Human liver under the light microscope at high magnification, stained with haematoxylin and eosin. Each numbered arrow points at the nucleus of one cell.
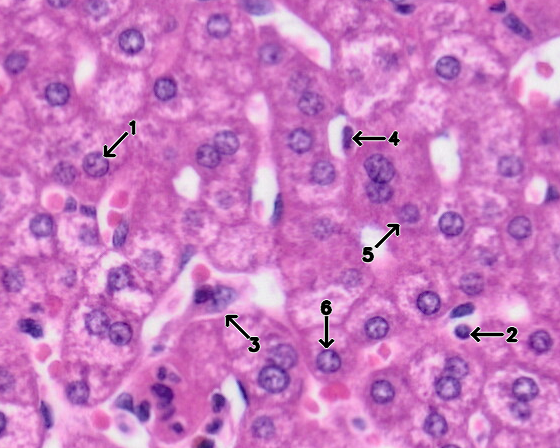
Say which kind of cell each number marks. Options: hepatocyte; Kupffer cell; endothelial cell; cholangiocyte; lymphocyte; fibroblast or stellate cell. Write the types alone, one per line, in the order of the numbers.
hepatocyte
lymphocyte
Kupffer cell
Kupffer cell
hepatocyte
hepatocyte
